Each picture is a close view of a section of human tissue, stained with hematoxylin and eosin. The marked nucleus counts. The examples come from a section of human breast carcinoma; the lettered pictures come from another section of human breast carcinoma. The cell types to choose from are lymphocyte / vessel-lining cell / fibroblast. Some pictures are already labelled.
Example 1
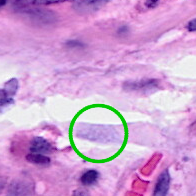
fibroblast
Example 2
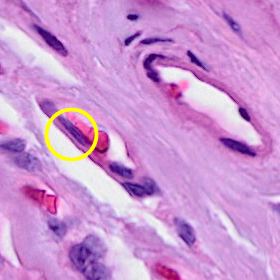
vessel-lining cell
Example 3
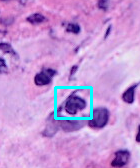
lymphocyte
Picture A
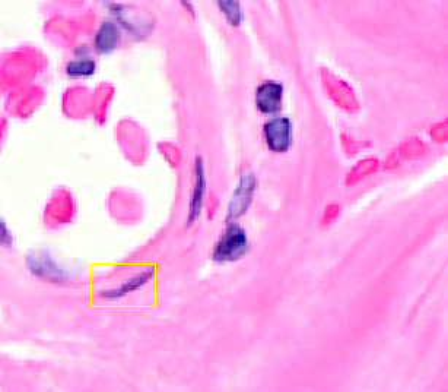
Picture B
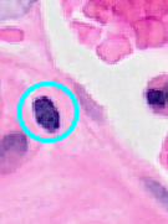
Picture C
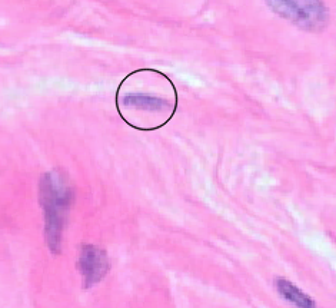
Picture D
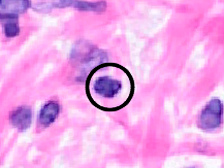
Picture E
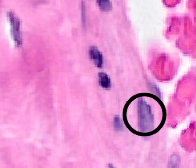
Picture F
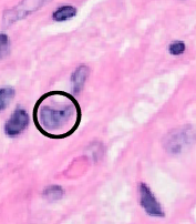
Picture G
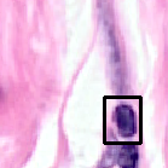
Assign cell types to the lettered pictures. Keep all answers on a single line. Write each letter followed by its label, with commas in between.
A vessel-lining cell, B lymphocyte, C fibroblast, D lymphocyte, E vessel-lining cell, F vessel-lining cell, G lymphocyte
